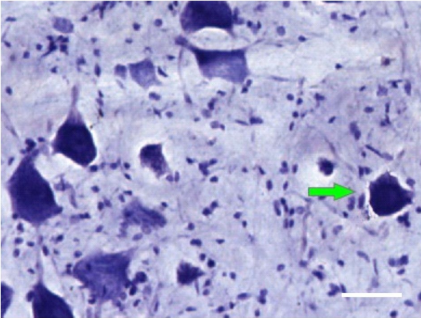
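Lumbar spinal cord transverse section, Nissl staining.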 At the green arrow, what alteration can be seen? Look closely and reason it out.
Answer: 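Abnormal motor neurons. The marked cell is small and rounded without visible processes. It is stained solid dark purple with no visible nucleus or nucleolus. A clear halo separates it from the surrounding tissue.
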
